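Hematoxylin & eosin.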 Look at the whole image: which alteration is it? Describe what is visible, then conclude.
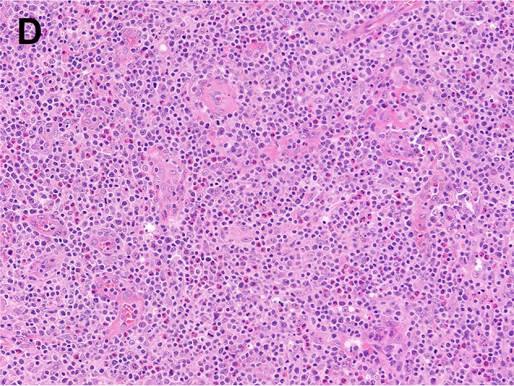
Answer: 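Many scattered cells with bright pink-red granular cytoplasm. These cells lie among small round lymphoid cells and pink-walled vessels.
Eosinophil increase.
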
